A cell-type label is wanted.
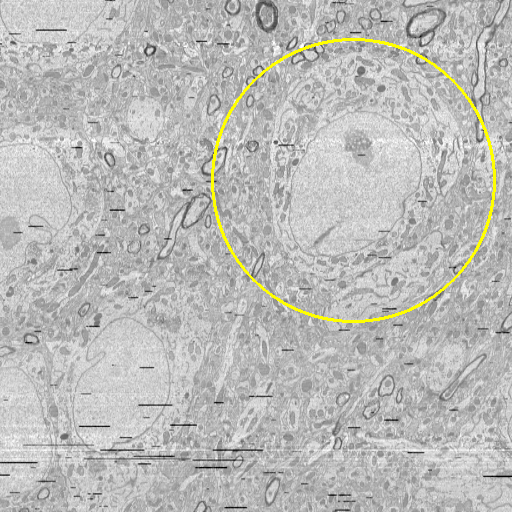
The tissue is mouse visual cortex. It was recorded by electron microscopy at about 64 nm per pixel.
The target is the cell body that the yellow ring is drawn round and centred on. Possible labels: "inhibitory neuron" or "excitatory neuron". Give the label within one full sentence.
Of the labels offered, the cell in the middle of the yellow ring is an inhibitory neuron.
